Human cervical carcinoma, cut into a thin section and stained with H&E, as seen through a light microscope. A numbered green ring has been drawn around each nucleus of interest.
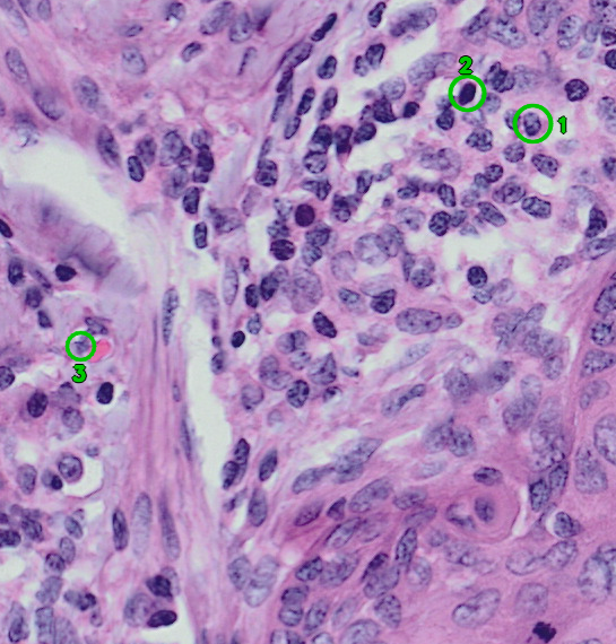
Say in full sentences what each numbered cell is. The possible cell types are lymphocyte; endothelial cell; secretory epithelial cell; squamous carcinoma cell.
Cell 1 is a lymphocyte, cell 2 is a lymphocyte and cell 3 is an endothelial cell.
